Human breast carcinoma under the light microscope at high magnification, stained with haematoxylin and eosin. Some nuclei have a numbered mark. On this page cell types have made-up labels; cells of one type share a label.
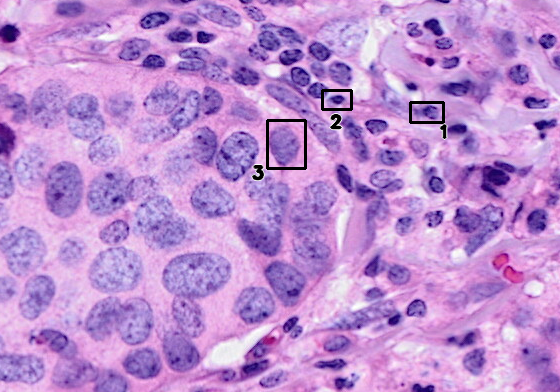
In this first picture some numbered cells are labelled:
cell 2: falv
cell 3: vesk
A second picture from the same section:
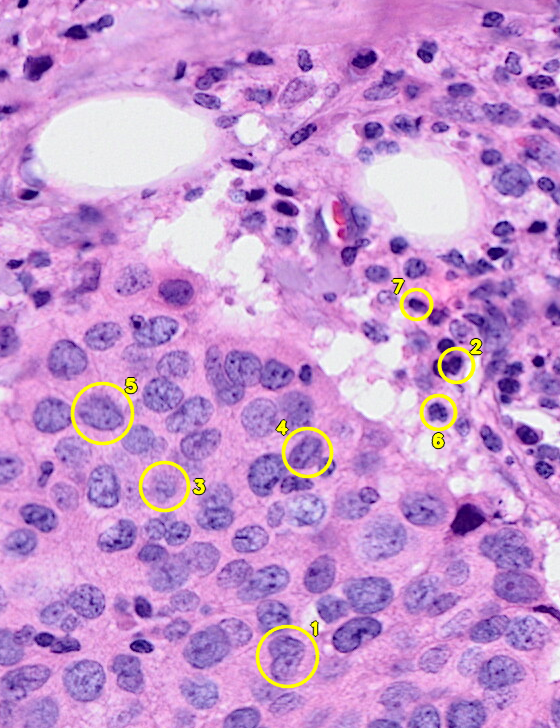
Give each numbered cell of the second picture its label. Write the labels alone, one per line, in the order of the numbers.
vesk
falv
vesk
vesk
vesk
falv
falv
